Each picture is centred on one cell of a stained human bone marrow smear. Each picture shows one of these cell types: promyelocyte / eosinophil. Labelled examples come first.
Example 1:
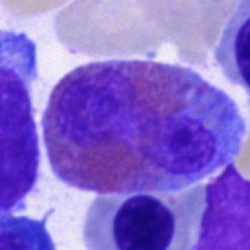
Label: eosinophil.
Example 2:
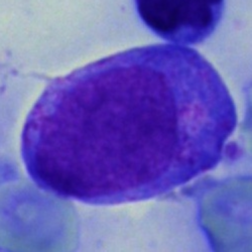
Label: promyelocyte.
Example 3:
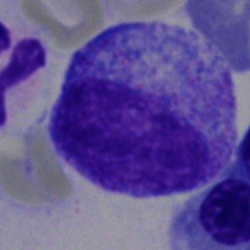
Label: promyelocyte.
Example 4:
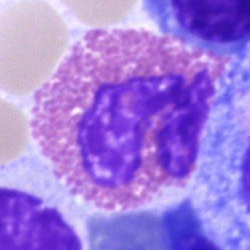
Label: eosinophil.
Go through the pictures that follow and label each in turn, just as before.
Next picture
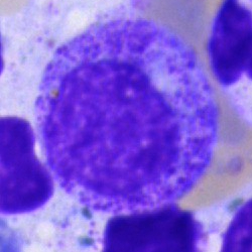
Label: promyelocyte.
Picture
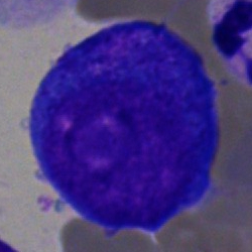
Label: promyelocyte.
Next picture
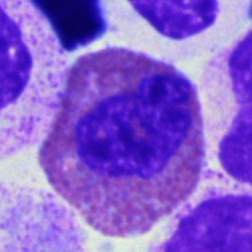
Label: eosinophil.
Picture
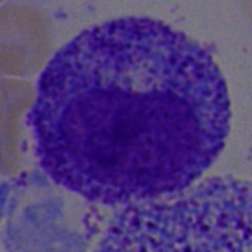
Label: promyelocyte.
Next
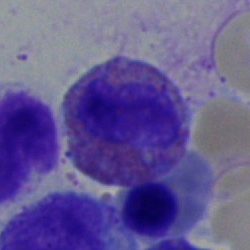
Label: eosinophil.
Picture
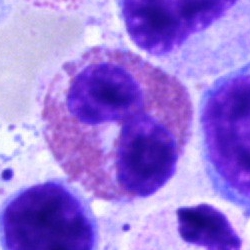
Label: eosinophil.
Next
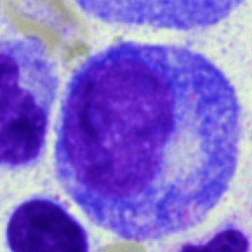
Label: promyelocyte.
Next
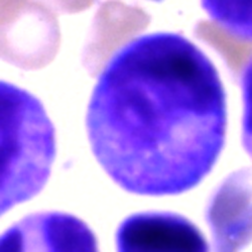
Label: promyelocyte.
